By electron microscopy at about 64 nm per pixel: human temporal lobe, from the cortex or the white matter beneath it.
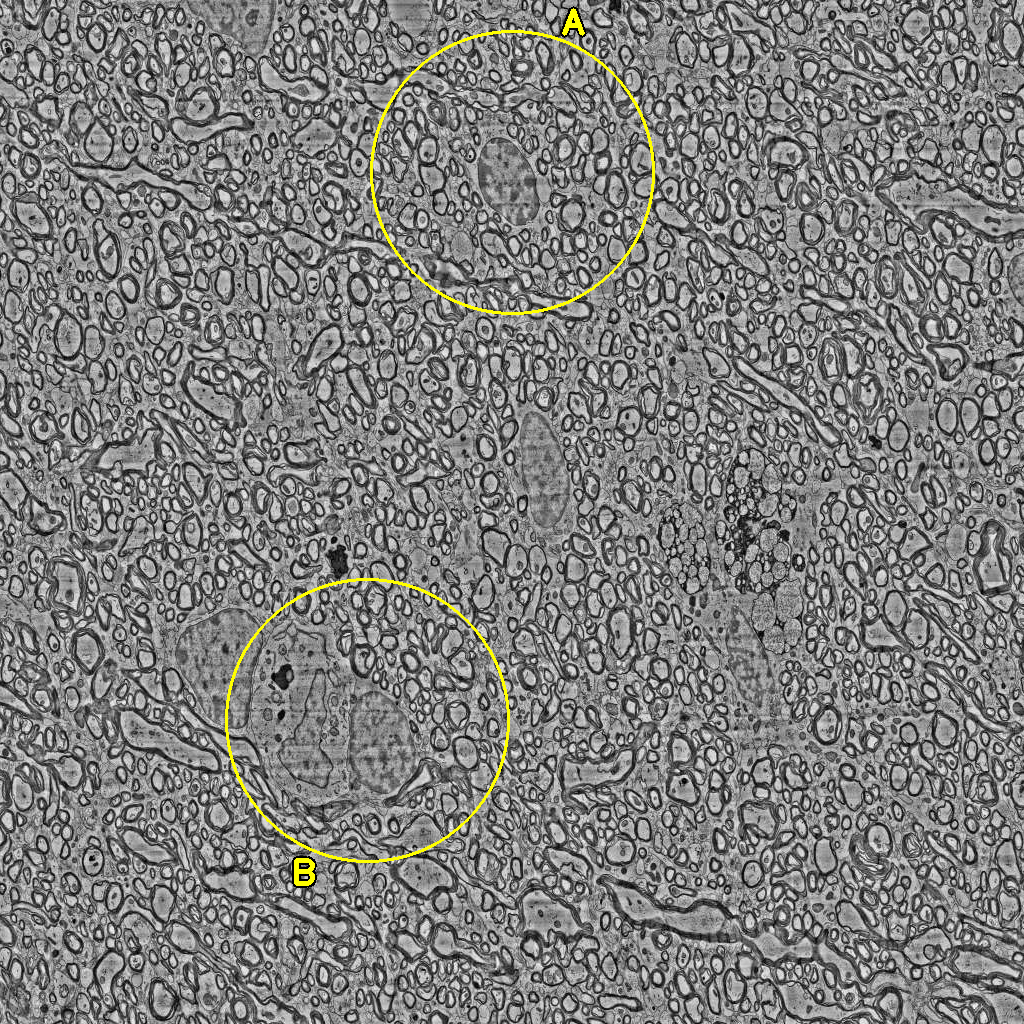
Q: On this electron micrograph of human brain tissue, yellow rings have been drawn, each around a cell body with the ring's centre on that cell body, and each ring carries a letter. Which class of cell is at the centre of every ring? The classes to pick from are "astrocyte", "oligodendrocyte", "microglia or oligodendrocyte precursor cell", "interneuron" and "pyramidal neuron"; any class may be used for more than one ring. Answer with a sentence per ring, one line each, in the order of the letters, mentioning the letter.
The centre of ring A is occupied by a microglial cell or oligodendrocyte precursor cell.
The centre of ring B is occupied by an oligodendrocyte.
